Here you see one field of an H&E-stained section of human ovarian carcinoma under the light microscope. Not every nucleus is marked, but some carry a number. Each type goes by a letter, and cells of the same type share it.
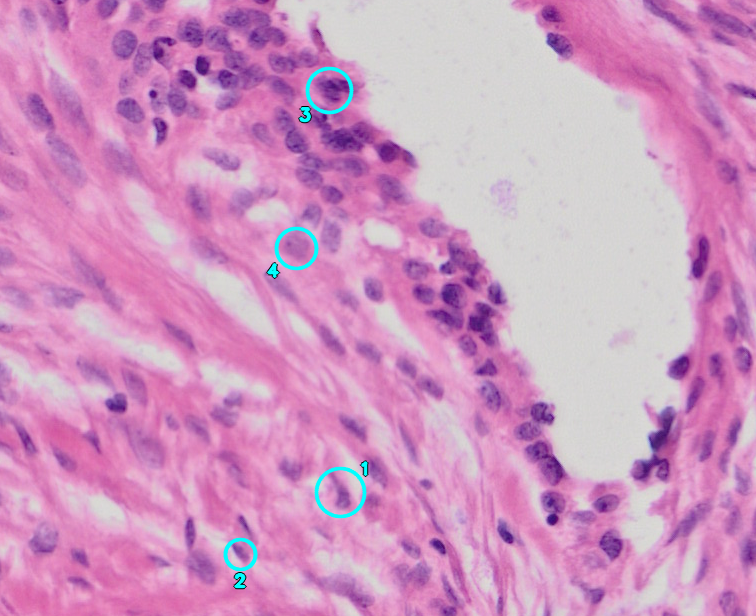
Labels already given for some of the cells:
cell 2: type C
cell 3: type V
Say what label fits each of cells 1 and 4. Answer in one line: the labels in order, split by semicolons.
type C; type C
